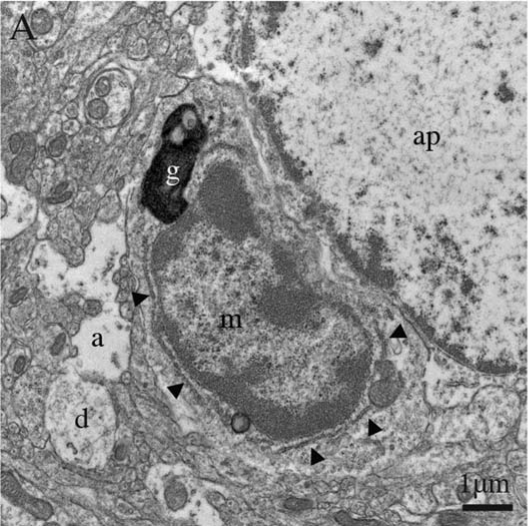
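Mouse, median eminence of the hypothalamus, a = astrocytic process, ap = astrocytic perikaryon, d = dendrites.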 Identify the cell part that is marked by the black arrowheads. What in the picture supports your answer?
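The arrowheads lie in the thin cytoplasm beside the nucleus. They point to long narrow membrane-bound cisternae. So: endoplasmic reticulum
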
